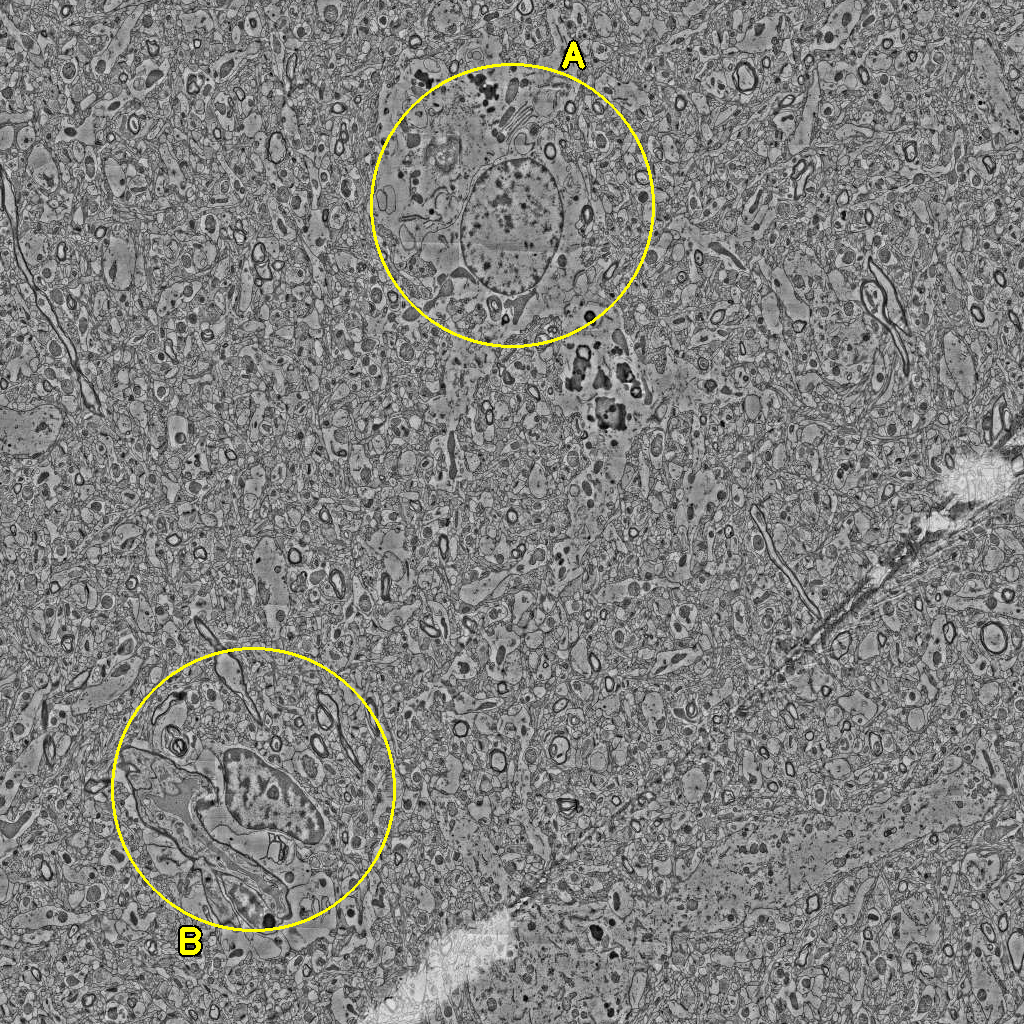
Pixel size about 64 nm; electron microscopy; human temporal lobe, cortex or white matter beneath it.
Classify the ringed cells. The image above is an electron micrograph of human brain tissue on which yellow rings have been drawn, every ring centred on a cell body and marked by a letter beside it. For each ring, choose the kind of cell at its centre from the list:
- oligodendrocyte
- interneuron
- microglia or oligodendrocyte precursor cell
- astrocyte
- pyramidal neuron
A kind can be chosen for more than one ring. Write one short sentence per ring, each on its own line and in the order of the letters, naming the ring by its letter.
Ring A is placed around an astrocyte.
Ring B is placed around a microglial cell or oligodendrocyte precursor cell.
